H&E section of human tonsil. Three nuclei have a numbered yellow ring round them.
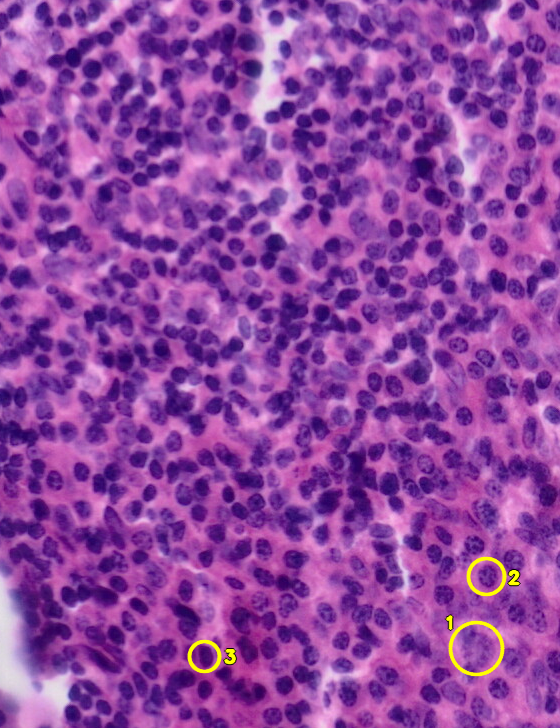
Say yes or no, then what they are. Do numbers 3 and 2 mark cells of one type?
Yes, cells 3 and 2 are both plasma cells and thus of one type.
